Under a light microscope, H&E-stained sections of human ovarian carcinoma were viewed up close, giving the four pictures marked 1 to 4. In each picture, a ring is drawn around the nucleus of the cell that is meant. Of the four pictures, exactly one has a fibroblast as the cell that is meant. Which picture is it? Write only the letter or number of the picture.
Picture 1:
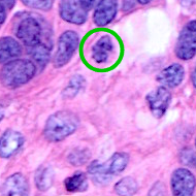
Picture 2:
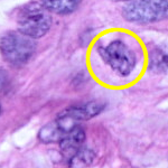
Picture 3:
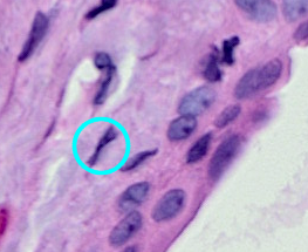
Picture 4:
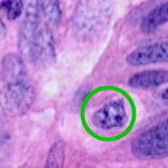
3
